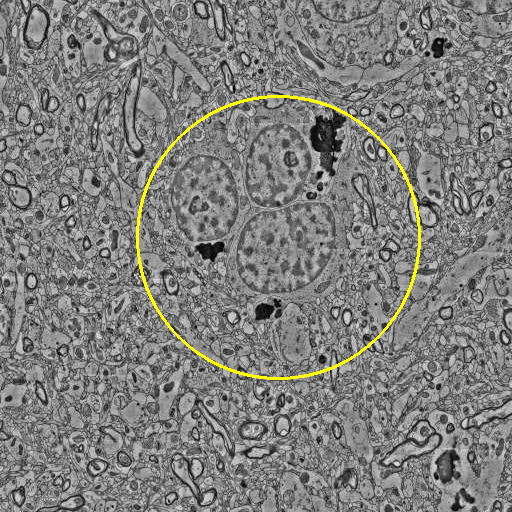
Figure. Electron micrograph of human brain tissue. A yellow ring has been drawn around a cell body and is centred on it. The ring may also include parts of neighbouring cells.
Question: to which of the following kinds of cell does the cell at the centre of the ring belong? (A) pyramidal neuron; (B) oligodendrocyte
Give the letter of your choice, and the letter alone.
B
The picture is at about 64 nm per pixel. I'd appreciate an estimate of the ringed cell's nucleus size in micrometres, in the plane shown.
About 7 by 6 micrometers, in this plane.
